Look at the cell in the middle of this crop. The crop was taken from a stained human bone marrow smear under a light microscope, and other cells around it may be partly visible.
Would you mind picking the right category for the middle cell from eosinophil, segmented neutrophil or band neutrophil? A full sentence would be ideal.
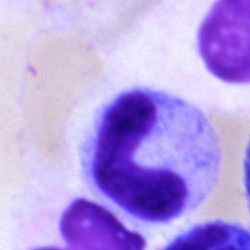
What sits at the centre of this crop is a band neutrophil.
